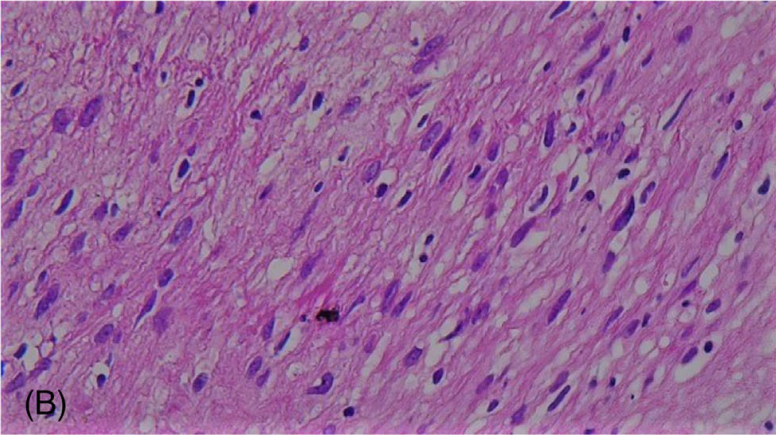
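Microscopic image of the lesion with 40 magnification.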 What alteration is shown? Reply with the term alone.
Spindle‐shaped and wavy cells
